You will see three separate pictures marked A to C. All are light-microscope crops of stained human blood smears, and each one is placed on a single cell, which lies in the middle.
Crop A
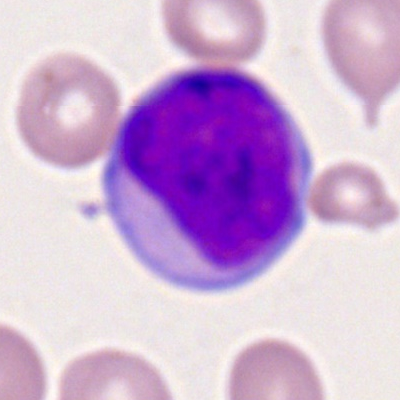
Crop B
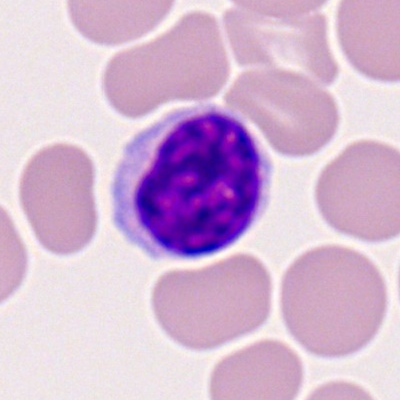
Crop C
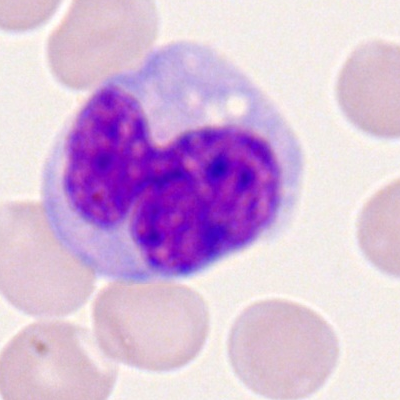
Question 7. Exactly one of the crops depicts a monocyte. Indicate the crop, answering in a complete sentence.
The crop in which a monocyte is shown is crop C.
